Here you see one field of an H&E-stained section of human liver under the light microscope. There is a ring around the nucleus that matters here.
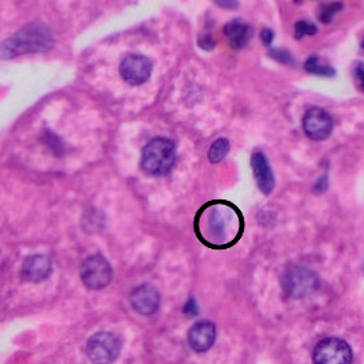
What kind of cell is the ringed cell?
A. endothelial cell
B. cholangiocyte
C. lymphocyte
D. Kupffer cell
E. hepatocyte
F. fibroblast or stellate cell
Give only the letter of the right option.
A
